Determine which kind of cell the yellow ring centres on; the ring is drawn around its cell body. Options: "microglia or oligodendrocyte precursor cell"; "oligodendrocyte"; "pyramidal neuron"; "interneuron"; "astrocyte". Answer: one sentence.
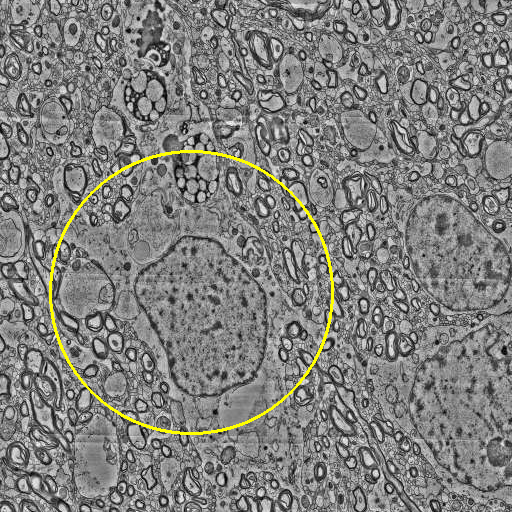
The ring centres on an astrocyte.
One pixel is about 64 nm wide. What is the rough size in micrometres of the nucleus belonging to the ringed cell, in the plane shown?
In this plane, the nucleus is roughly 10 by 8 micrometres.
